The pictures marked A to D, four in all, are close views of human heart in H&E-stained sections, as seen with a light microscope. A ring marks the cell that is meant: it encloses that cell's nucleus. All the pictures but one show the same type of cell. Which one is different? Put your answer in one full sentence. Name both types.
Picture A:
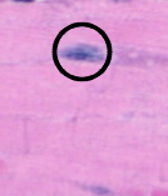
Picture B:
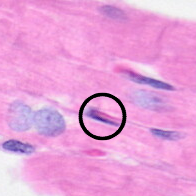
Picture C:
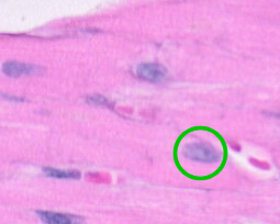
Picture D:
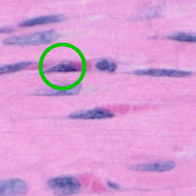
All pictures except C show endothelial cells; picture C shows a cardiomyocyte.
